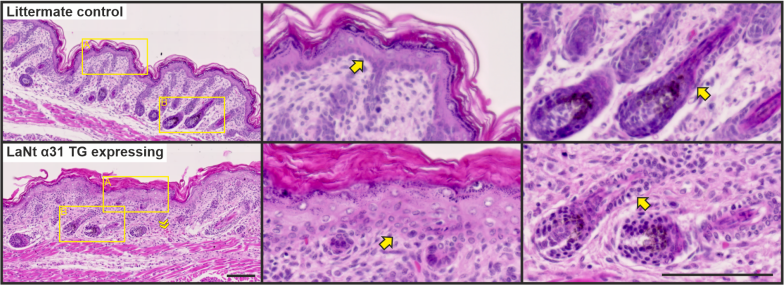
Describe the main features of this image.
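Sections of skin with a stratified squamous epidermis over a cellular dermis that holds hair follicles, stained pink and purple. The epidermis shows a basal row of small, closely packed cells with dark nuclei resting on the dermis, layers of larger paler cells above, and a pink, layered keratin coat on top. In the dermis, hair follicles appear as rounded and elongated clusters of densely purple cells, some with dark pigment, set among loosely arranged spindle-shaped cells and pink connective tissue. Skeletal muscle lies in bands at the bottom. In the lower row the keratin layer looks thicker and the epidermis more irregular.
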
